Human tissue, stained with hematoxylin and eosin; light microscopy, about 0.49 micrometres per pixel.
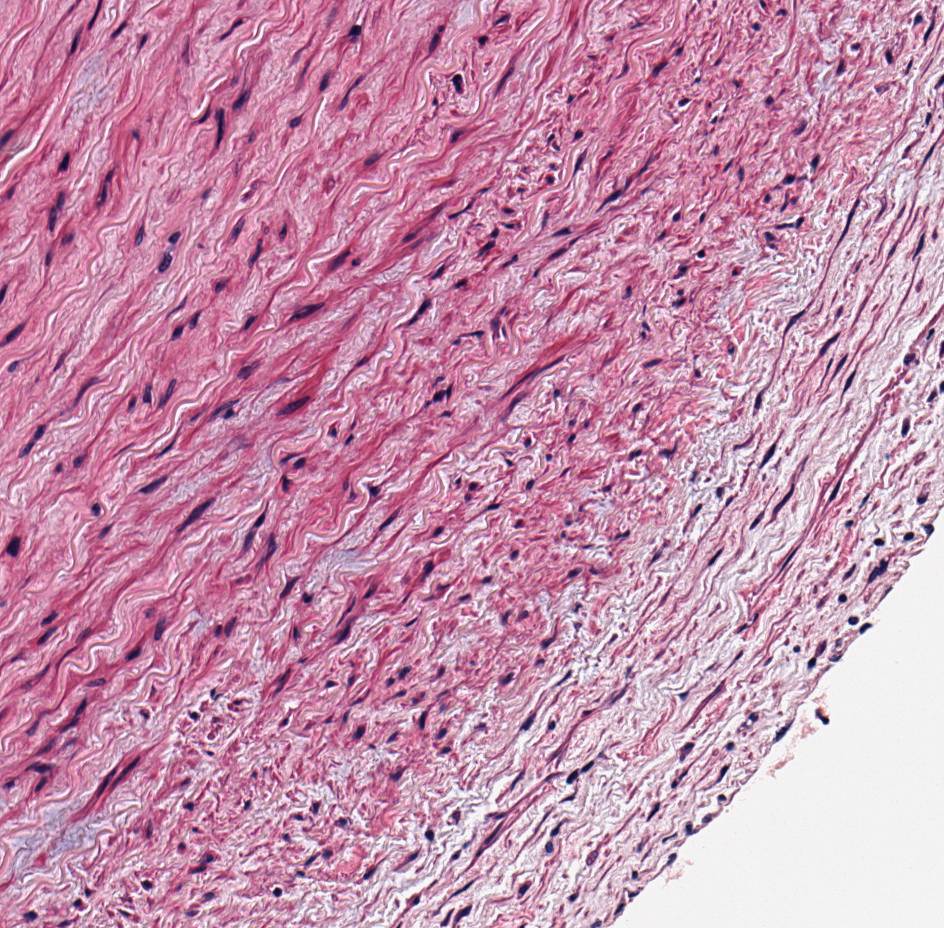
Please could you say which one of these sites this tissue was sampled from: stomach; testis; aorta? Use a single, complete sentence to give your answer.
This tissue was sampled from the aorta.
